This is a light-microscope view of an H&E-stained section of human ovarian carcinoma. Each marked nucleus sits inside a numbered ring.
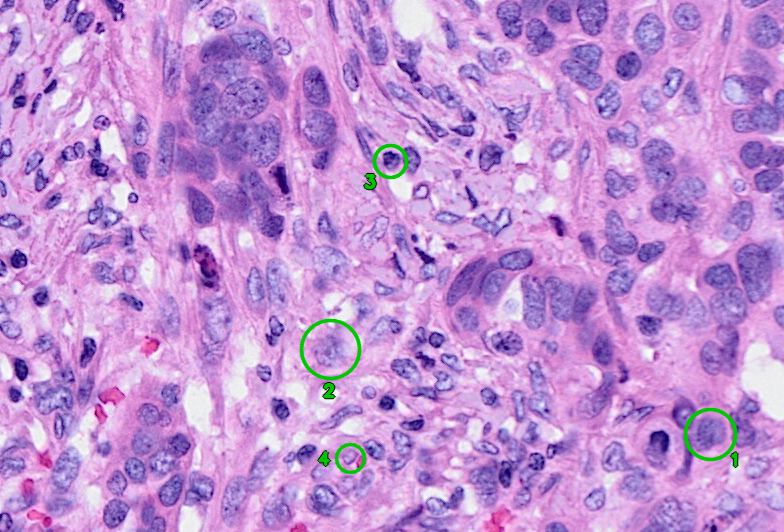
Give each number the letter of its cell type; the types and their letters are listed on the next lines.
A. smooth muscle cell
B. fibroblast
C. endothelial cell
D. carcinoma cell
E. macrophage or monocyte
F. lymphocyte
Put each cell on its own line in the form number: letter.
1: D
2: B
3: F
4: C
